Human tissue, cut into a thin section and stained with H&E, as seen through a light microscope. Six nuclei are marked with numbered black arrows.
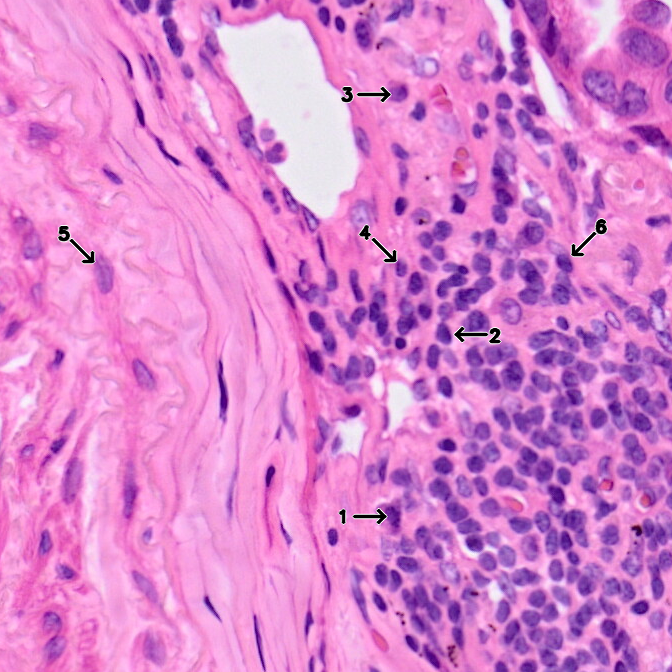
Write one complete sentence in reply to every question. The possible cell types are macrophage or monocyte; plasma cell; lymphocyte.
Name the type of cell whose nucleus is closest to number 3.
It is a lymphocyte whose nucleus is nearest to number 3.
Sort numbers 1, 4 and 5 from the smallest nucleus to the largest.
The order from the smallest nucleus to the largest is 4, 1, 5.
